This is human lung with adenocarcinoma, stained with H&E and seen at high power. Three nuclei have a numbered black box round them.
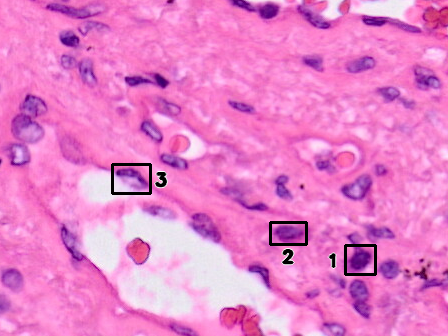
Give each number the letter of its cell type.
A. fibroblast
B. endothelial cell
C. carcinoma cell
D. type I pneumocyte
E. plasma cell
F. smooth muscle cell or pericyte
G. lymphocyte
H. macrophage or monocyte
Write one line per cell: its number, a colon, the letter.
1: E
2: E
3: B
